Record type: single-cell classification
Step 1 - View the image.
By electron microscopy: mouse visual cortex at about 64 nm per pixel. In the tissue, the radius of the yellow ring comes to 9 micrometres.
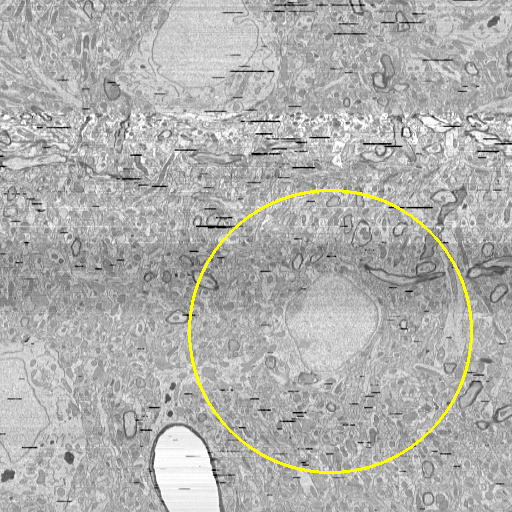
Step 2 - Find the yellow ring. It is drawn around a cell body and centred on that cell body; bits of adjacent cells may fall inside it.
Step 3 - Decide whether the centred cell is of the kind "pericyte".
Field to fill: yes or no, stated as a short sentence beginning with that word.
No, the centred cell belongs to another kind.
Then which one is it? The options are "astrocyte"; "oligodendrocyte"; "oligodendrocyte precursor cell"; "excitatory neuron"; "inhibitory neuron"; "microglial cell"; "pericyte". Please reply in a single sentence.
What the ring encloses here is an astrocyte.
